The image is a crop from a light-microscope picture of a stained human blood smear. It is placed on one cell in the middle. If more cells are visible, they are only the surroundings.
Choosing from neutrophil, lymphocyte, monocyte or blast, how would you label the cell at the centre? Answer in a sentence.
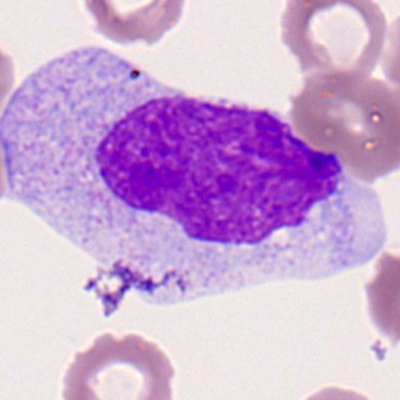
What the crop centres on is a monocyte.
